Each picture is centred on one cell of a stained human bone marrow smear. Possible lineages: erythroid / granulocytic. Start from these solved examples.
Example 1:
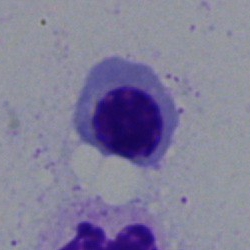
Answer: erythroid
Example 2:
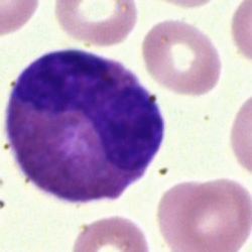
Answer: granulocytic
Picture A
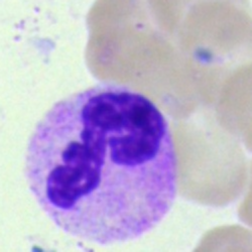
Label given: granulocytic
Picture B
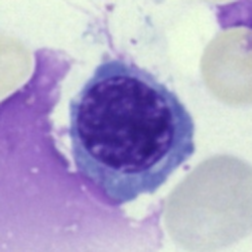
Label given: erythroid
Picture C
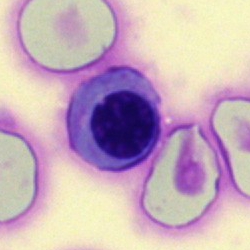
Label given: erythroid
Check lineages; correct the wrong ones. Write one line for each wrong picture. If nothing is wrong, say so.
Every label is right.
